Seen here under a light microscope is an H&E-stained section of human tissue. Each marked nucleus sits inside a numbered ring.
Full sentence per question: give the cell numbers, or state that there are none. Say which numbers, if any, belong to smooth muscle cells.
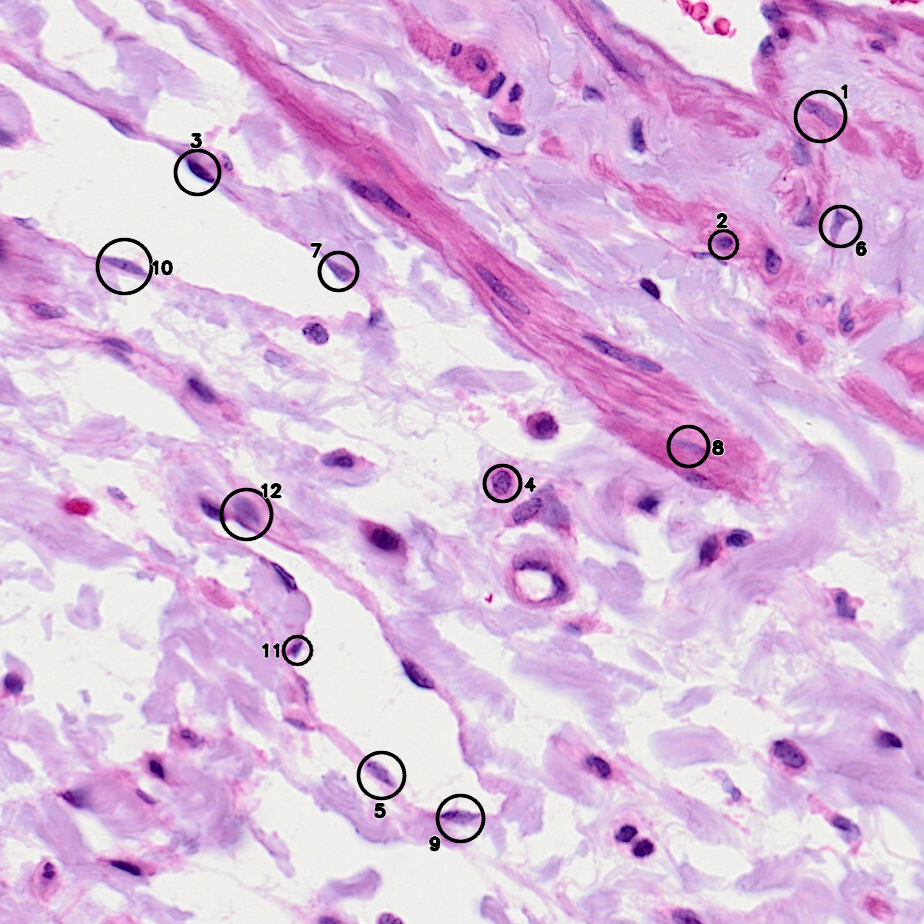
The cells with numbers 1, 2 and 8 are smooth muscle cells by type.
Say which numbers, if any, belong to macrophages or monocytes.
Cell 4 is the only numbered cell that is a macrophage or monocyte.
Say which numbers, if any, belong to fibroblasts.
Cell 6 is a fibroblast, and it is the only numbered cell that is.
